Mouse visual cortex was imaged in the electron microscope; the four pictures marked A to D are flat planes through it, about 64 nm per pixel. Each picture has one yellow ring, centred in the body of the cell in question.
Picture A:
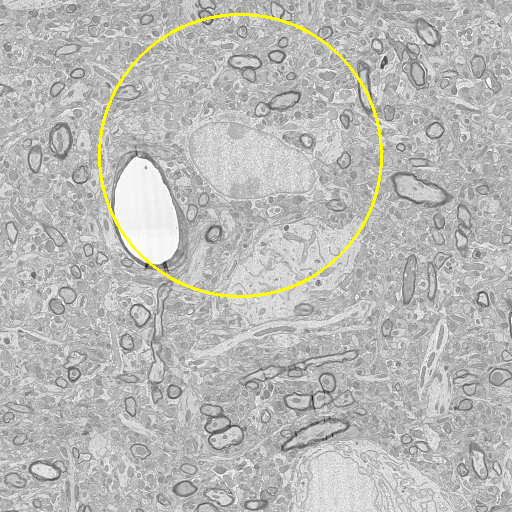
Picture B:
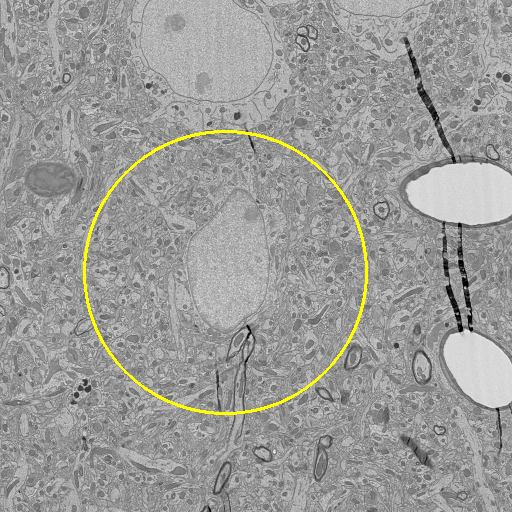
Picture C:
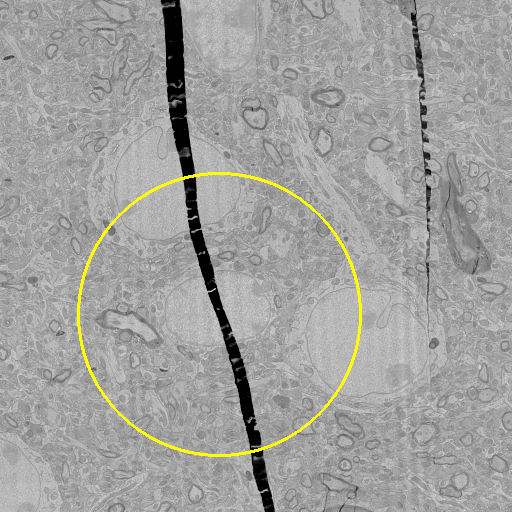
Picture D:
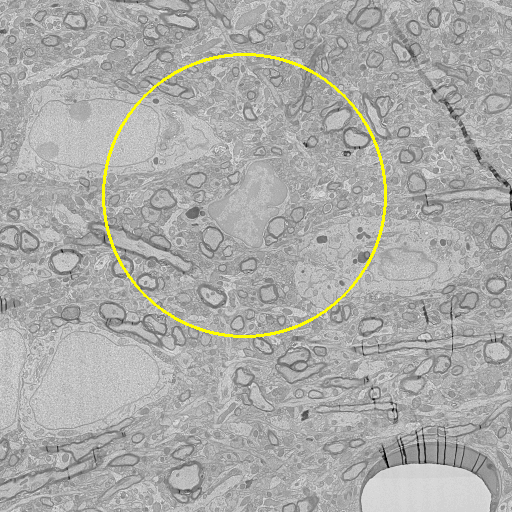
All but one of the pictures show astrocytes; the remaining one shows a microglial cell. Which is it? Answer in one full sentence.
The picture with the microglial cell is D.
